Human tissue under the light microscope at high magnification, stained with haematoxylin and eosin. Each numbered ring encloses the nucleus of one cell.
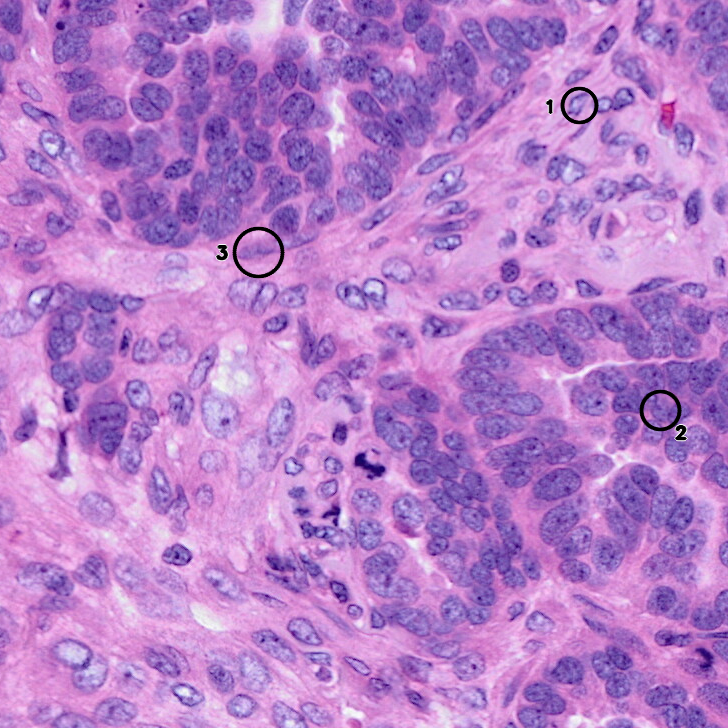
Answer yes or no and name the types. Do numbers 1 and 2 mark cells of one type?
No, cell 1 is a fibroblast and cell 2 is a carcinoma cell.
